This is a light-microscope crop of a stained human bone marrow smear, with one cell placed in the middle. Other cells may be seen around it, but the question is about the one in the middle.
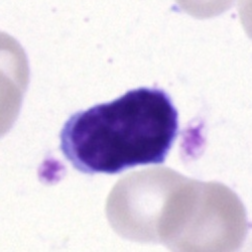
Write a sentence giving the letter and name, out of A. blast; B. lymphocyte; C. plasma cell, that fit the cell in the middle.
The correct option is B, as the central cell is a lymphocyte.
